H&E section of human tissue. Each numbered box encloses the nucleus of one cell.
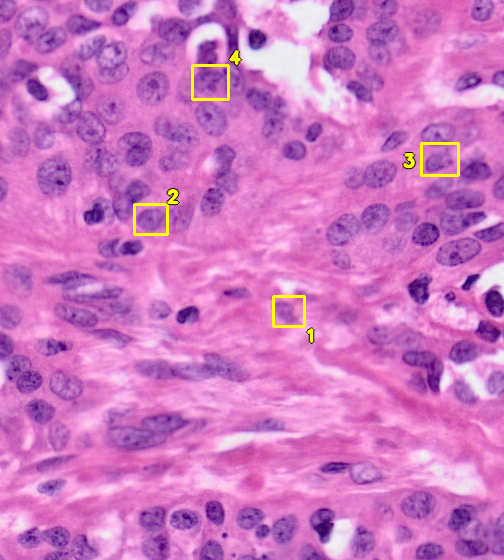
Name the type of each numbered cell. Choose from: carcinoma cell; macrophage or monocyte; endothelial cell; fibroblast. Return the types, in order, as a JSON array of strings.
["fibroblast", "carcinoma cell", "carcinoma cell", "carcinoma cell"]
